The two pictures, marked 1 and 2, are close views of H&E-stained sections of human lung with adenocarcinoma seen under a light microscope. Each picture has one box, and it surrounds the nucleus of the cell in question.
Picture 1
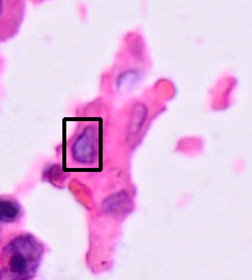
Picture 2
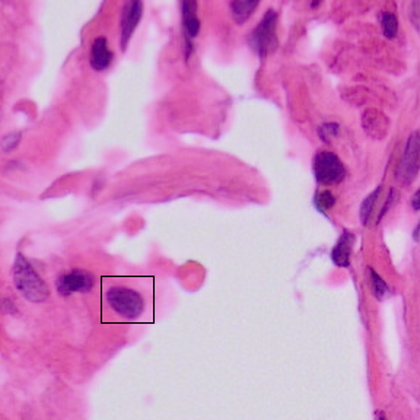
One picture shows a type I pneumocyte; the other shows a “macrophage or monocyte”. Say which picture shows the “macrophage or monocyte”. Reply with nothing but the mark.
1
